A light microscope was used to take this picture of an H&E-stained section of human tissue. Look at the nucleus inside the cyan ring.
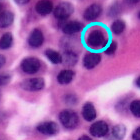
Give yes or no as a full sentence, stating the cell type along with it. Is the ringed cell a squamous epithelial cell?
No, in this section the ringed cell is a plasma cell and not a squamous epithelial cell.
